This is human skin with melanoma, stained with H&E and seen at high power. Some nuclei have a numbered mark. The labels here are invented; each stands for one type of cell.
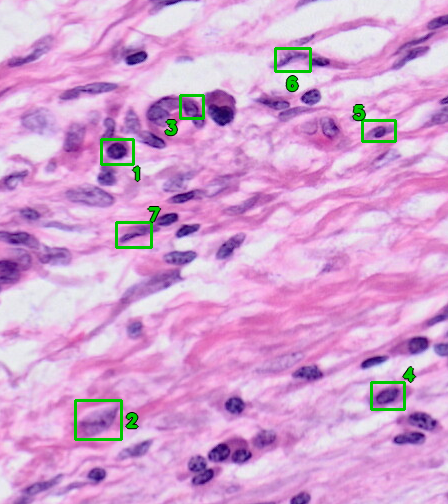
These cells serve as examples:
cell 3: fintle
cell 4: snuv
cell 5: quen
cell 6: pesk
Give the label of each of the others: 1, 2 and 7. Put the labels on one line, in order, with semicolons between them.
snuv; pesk; quen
